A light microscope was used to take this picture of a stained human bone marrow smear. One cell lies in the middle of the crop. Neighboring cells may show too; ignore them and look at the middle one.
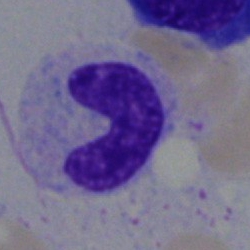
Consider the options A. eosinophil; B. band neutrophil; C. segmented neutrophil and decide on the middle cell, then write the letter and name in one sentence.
The cell occupying the centre is a band neutrophil; option B is thus the correct choice.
